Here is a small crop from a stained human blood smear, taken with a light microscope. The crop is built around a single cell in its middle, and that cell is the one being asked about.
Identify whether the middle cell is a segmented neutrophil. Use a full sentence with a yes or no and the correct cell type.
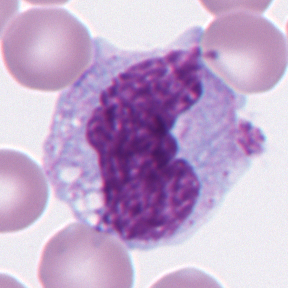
No, a monocyte, not a segmented neutrophil, is what sits in the centre of the crop.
